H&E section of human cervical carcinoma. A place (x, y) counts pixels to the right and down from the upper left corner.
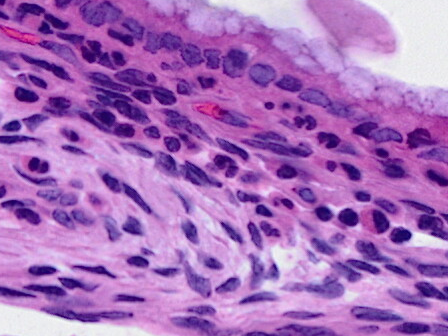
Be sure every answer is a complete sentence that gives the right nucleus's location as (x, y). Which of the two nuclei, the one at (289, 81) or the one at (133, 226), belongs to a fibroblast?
The nucleus found at (133, 226) belongs to a fibroblast.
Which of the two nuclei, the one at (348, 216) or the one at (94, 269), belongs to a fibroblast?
Lying within a fibroblast is the nucleus at (94, 269).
